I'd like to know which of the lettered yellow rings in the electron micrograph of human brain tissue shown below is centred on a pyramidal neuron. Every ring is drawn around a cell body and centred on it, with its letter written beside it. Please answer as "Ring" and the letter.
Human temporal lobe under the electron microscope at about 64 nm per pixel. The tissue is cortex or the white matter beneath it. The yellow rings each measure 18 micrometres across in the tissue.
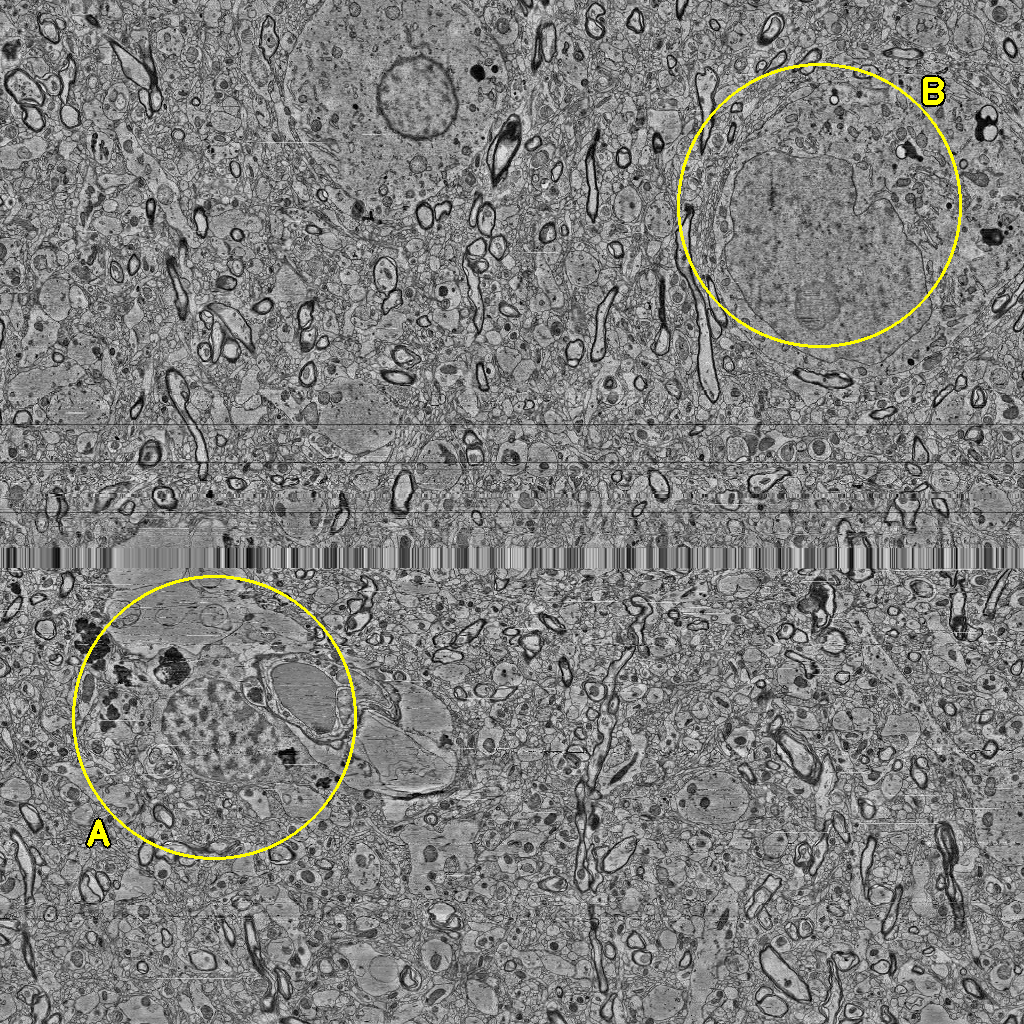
Ring B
